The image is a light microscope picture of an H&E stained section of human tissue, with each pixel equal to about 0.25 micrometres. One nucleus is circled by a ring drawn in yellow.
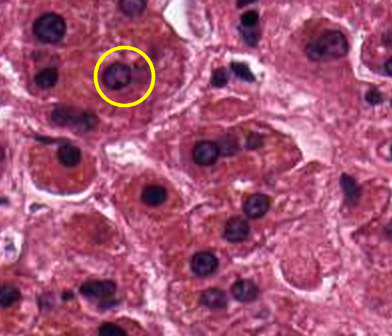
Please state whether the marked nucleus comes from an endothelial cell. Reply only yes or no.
no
